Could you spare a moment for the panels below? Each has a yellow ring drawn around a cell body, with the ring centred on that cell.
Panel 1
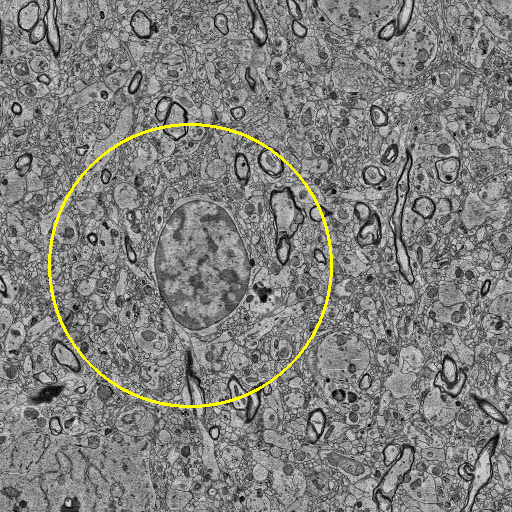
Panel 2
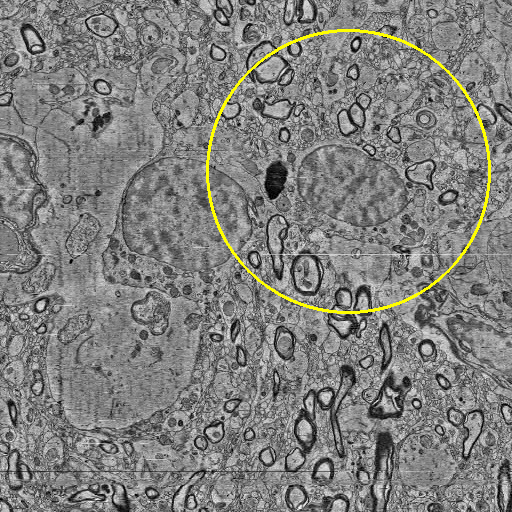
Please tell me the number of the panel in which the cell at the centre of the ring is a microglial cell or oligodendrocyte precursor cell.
1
